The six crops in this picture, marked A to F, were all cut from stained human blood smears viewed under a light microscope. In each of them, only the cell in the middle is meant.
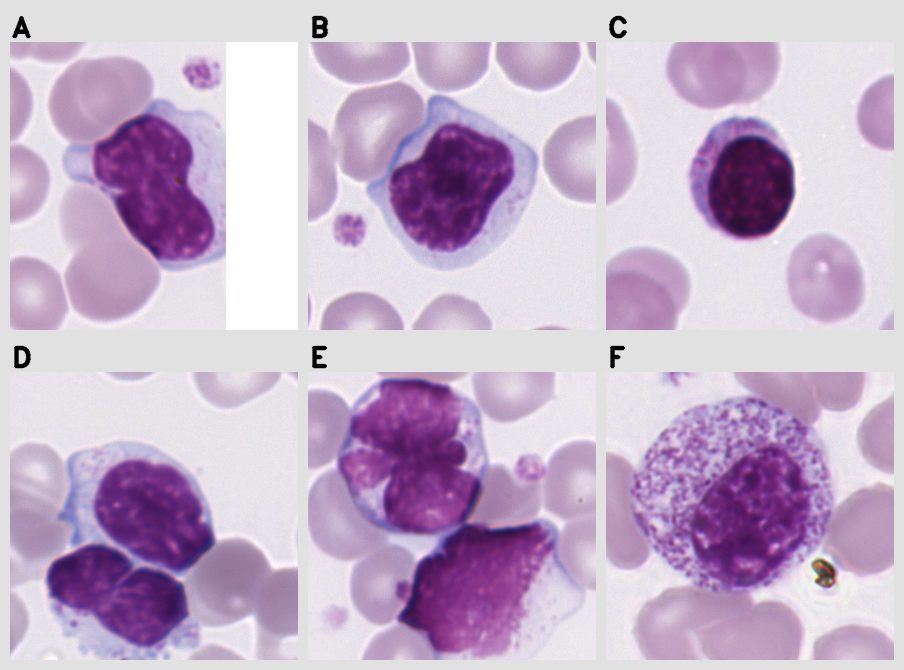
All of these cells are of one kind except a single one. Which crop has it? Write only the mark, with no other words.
F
